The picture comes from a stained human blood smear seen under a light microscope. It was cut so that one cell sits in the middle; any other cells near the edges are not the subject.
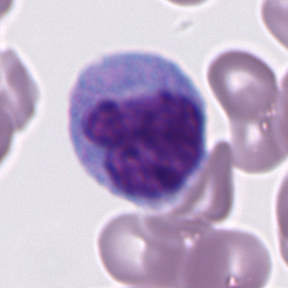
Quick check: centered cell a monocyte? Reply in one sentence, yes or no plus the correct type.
Yes, a monocyte is what the central cell is.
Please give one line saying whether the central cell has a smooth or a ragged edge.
Smooth outline, no projections: that is the whole story of its edge.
